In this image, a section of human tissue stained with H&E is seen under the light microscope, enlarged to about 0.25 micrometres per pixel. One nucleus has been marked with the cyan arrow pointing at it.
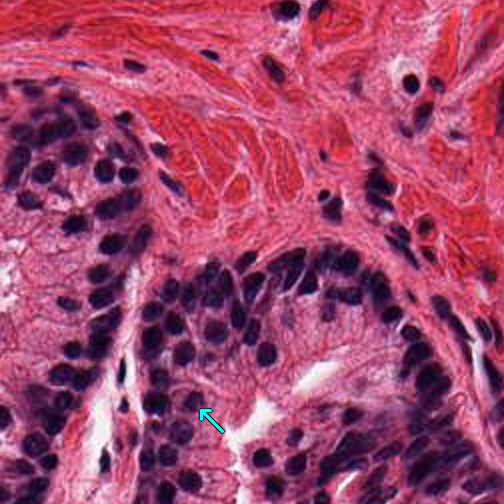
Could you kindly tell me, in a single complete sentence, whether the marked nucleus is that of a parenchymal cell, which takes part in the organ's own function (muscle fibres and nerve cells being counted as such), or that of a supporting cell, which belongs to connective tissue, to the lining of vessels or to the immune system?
The parenchymal cell containing the marked nucleus is a prostate gland luminal cell.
